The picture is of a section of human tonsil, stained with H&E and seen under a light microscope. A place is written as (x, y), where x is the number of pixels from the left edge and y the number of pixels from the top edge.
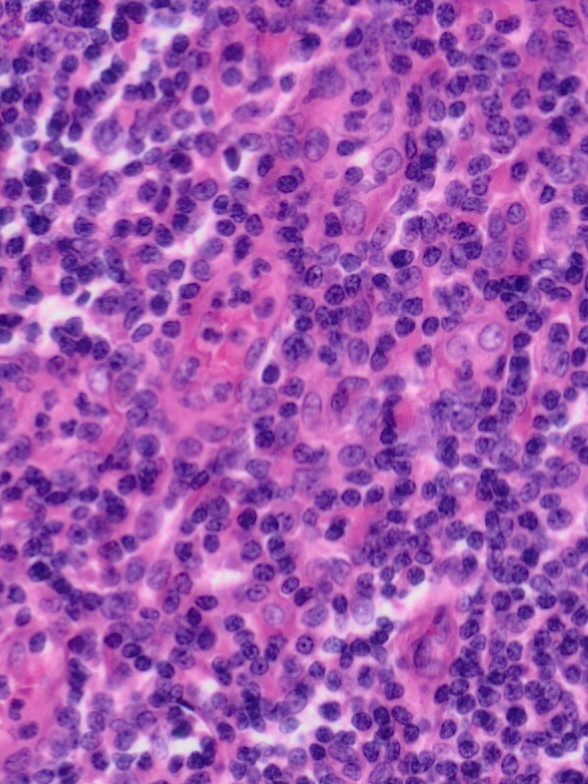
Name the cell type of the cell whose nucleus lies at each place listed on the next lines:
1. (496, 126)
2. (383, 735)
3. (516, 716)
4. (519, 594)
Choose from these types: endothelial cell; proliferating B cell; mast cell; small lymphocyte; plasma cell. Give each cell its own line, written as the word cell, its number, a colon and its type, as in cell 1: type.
cell 1: plasma cell
cell 2: small lymphocyte
cell 3: small lymphocyte
cell 4: small lymphocyte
